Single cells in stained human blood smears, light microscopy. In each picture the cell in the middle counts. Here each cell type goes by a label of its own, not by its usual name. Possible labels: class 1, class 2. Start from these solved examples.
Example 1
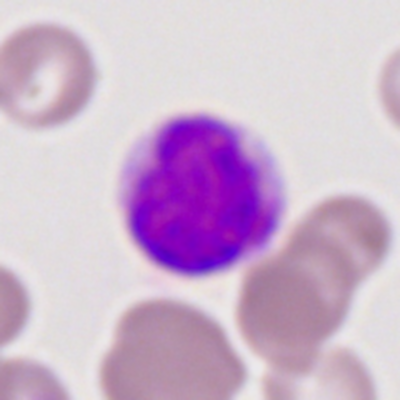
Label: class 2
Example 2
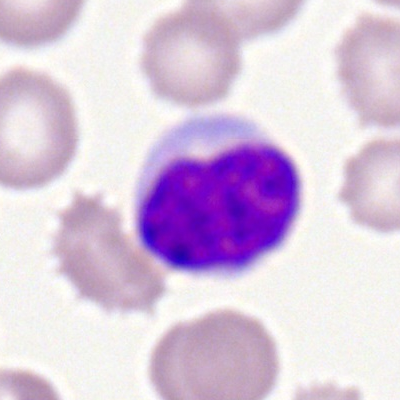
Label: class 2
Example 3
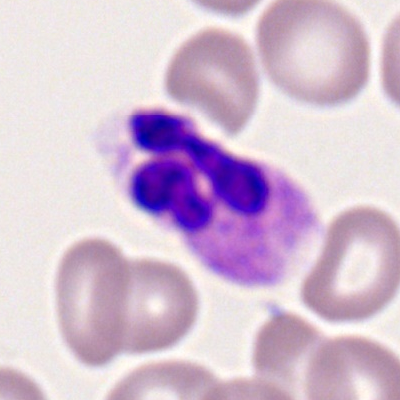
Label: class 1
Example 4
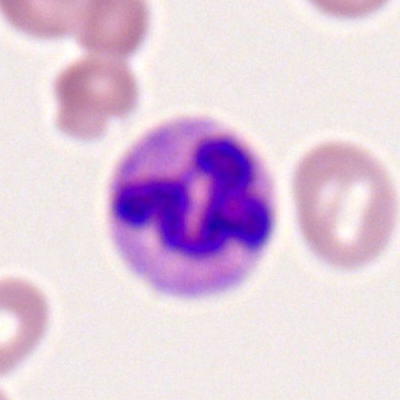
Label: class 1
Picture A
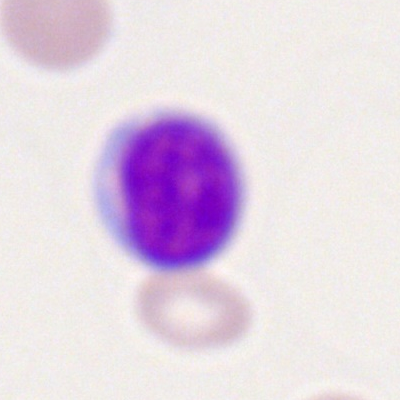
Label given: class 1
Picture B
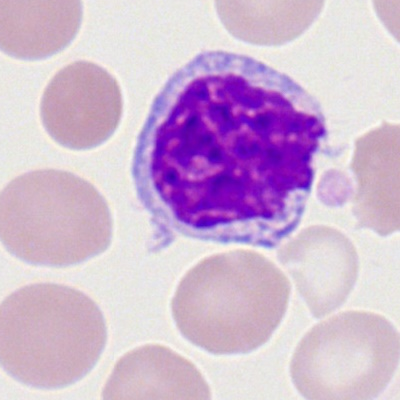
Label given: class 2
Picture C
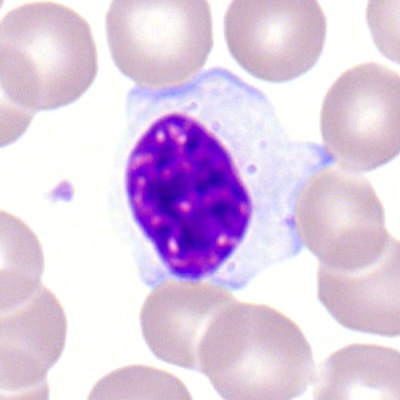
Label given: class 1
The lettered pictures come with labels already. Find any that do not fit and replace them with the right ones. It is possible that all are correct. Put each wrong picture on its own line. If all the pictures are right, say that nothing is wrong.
A should be class 2, not class 1
C should be class 2, not class 1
